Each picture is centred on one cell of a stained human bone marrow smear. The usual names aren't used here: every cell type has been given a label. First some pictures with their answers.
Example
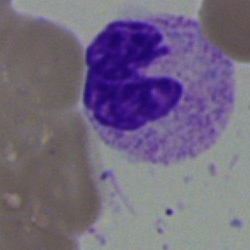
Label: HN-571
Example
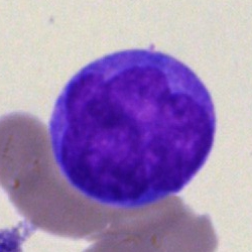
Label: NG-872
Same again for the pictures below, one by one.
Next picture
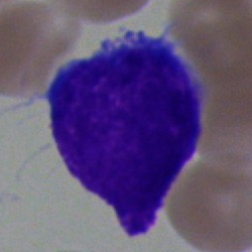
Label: NG-872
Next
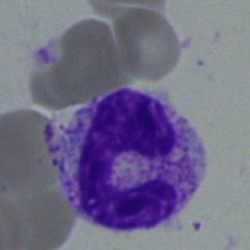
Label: HN-571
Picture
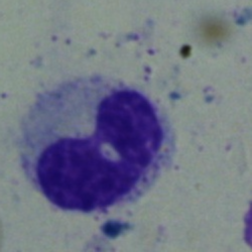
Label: HN-571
